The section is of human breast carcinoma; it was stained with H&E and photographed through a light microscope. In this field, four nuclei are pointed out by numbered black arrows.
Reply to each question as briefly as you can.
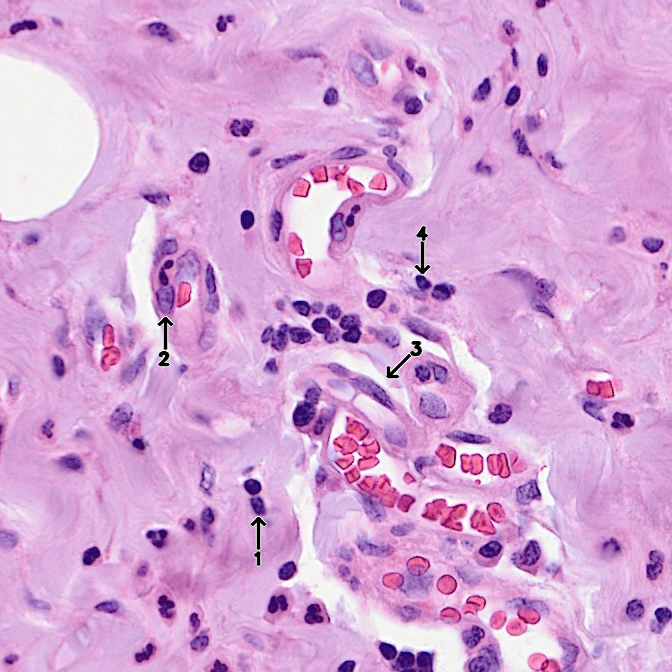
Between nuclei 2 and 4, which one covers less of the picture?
4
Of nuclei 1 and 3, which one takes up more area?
3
